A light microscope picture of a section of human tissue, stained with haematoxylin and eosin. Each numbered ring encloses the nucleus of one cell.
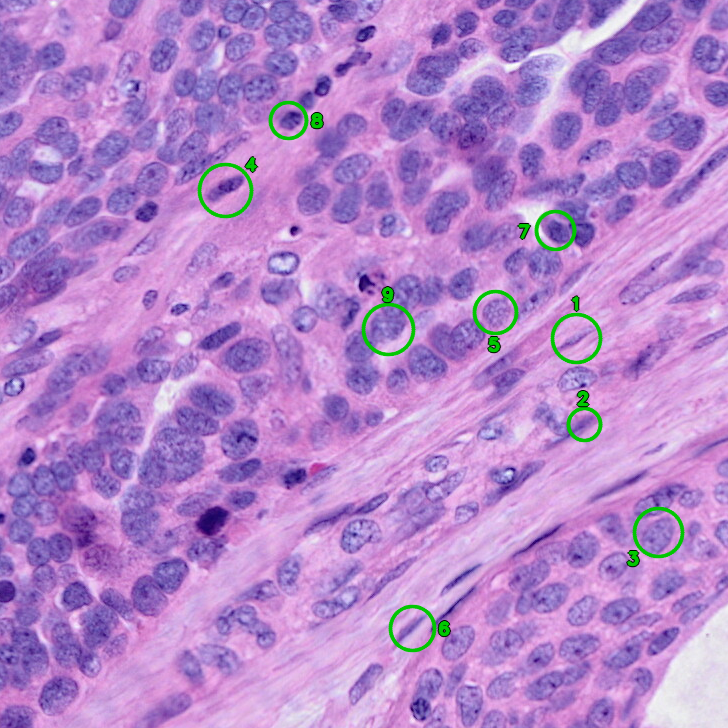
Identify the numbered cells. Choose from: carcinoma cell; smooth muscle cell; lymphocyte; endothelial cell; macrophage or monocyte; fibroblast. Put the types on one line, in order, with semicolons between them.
fibroblast; fibroblast; carcinoma cell; lymphocyte; carcinoma cell; fibroblast; carcinoma cell; lymphocyte; carcinoma cell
